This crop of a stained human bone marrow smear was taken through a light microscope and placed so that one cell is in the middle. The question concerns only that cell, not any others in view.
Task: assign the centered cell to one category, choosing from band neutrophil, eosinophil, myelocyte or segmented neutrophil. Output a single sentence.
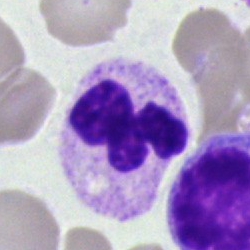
This particular crop is centered on a segmented neutrophil.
